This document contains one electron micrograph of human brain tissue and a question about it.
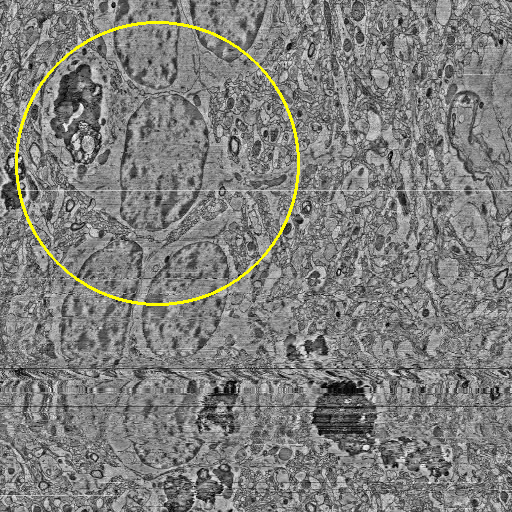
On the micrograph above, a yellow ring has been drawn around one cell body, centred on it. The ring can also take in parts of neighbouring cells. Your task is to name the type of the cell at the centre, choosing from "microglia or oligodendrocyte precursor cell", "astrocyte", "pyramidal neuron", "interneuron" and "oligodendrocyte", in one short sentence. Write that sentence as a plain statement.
Here the ring is centred on an astrocyte.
